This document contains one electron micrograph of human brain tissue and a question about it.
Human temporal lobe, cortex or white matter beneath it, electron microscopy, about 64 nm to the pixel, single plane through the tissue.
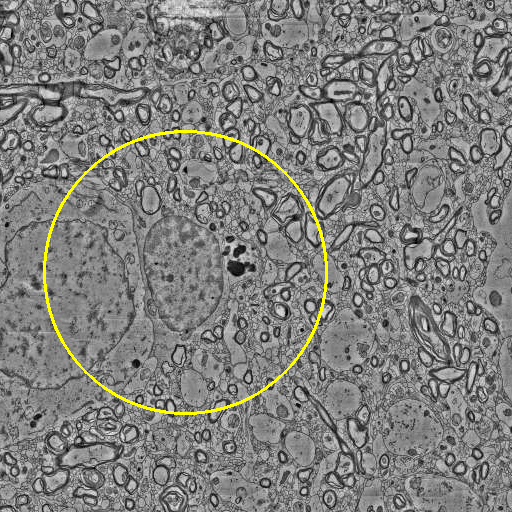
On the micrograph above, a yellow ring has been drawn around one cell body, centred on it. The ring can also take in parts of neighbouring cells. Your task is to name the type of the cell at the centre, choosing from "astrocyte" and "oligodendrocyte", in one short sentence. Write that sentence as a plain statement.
Here the ring is centred on an oligodendrocyte.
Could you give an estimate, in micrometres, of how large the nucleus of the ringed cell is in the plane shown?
Approximately 8 by 5 micrometers, which makes the nucleus clearly longer than it is wide in this plane.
